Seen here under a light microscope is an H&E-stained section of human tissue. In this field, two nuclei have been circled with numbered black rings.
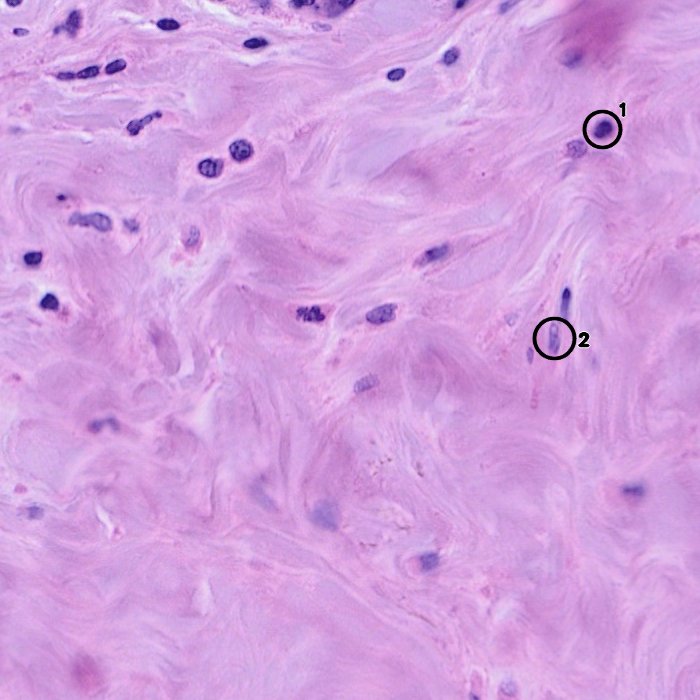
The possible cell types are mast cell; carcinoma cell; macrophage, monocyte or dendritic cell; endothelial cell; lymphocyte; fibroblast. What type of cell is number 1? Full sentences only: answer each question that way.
In the tissue shown, cell 1 is a lymphocyte.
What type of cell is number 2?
The cell pointed out as number 2 is a fibroblast.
